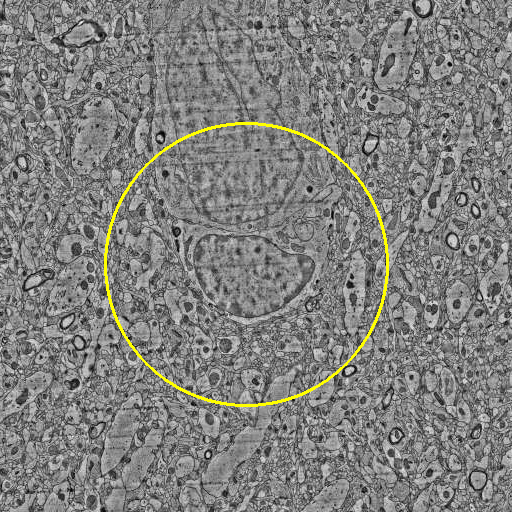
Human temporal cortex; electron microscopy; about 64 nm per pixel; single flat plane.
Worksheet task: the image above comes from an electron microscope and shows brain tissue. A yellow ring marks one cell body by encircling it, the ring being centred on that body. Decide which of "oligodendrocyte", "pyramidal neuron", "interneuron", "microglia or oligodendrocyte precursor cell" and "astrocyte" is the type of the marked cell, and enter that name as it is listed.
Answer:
microglia or oligodendrocyte precursor cell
